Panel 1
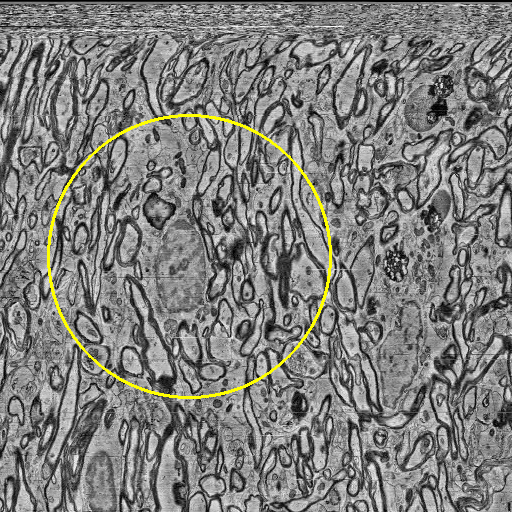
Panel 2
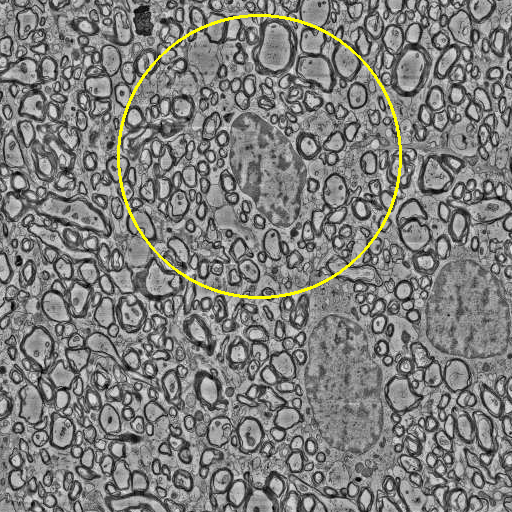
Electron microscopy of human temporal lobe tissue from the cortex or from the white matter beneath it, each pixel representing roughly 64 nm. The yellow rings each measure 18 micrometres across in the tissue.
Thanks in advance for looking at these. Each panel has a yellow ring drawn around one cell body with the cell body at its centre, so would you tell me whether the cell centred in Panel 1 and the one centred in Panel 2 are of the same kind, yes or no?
no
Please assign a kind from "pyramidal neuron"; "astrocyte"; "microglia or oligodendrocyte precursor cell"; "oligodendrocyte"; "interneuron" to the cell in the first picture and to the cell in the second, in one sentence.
In the first picture we have an oligodendrocyte, and in the second, a microglial cell or oligodendrocyte precursor cell.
